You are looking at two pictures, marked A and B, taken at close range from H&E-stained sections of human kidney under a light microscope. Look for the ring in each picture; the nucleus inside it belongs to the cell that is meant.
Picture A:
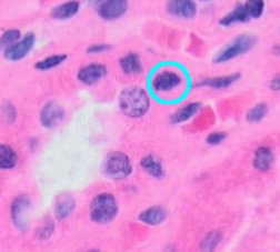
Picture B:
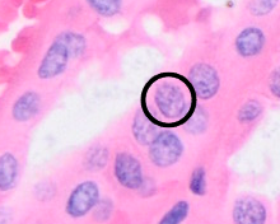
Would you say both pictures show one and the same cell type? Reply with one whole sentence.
No, the types are not the same, since picture A shows a “loop of Henle or distal tubule cell” and picture B a collecting duct cell.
